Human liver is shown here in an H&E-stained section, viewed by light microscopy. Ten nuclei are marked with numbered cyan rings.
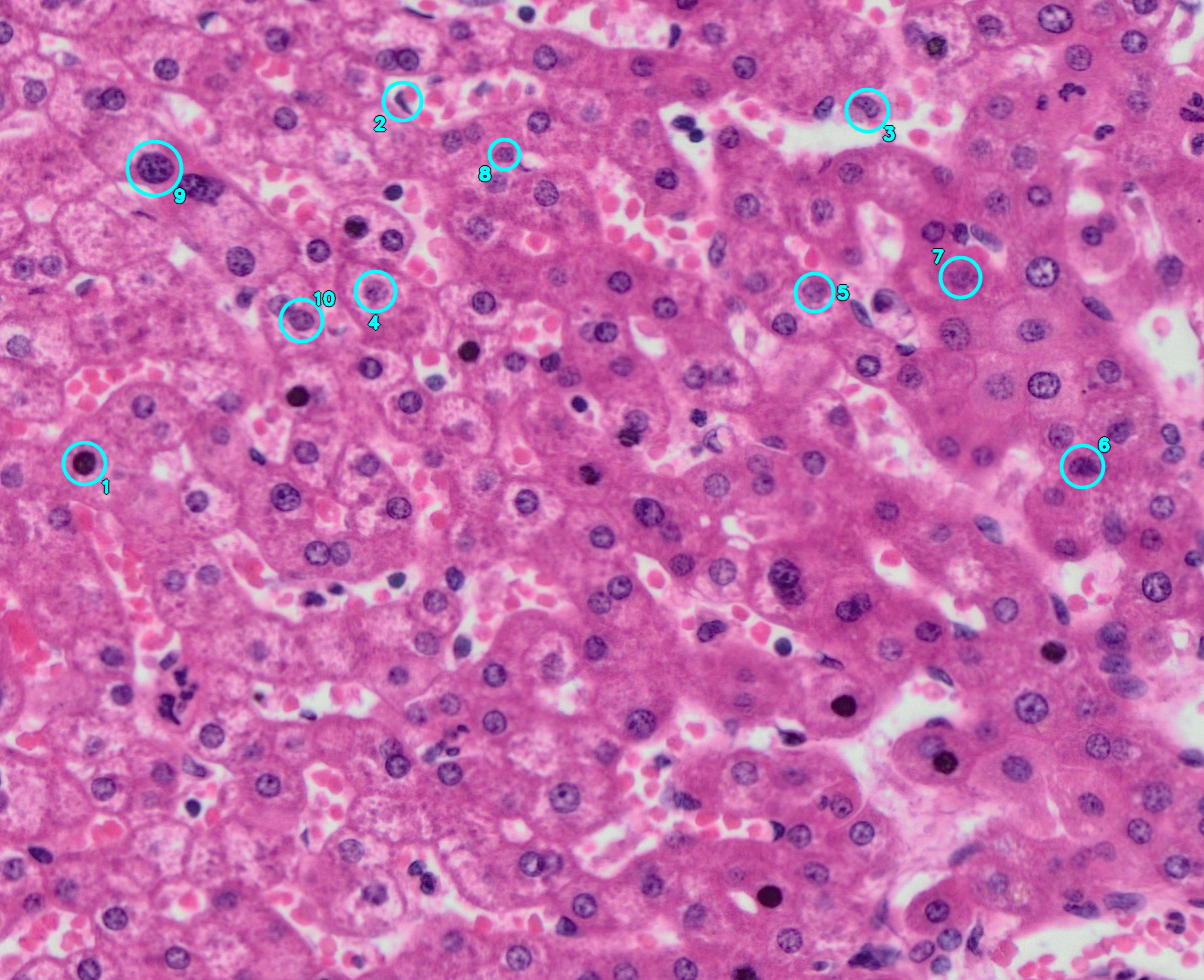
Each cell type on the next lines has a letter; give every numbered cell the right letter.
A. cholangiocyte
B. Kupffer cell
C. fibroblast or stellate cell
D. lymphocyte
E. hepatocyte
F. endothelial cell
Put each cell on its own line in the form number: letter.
1: E
2: F
3: B
4: E
5: E
6: C
7: E
8: C
9: E
10: E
